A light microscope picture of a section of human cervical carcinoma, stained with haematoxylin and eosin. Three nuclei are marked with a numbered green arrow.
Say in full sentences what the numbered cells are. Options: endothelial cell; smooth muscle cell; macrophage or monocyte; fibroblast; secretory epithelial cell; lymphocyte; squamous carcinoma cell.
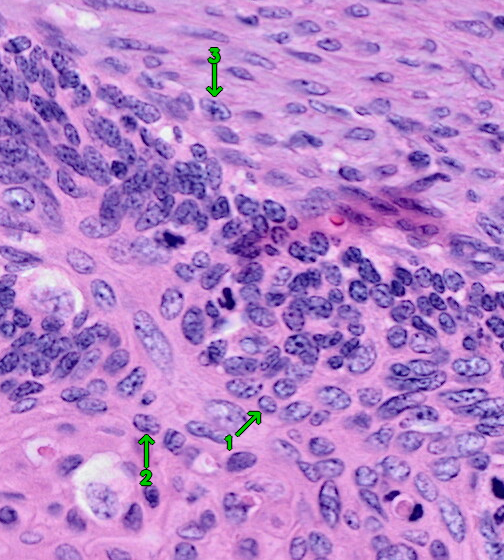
Cells 1 and 2 are squamous carcinoma cells. Cell 3 is a smooth muscle cell.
